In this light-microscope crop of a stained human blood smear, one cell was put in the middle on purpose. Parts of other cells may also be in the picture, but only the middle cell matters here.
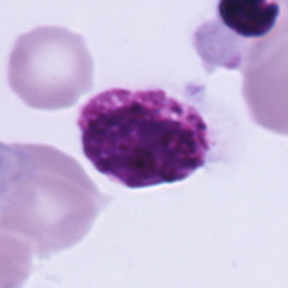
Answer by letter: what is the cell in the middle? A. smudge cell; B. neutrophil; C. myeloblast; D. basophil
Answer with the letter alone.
D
